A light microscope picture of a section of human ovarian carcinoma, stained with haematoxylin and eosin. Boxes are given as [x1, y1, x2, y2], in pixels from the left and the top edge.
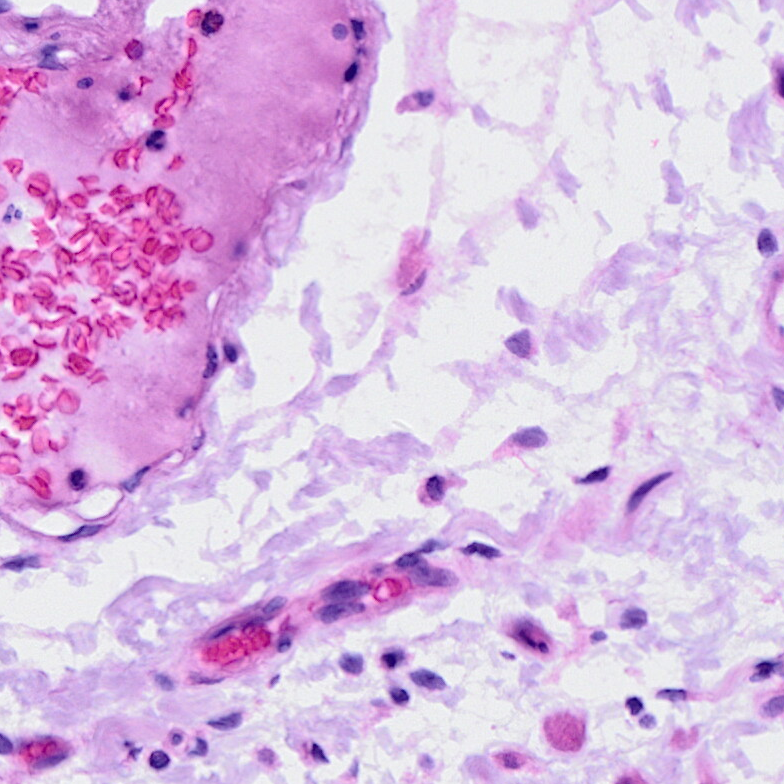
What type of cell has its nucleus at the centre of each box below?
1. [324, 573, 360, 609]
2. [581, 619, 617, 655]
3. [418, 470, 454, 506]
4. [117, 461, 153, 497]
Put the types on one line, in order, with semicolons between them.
endothelial cell; lymphocyte; macrophage or monocyte; endothelial cell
